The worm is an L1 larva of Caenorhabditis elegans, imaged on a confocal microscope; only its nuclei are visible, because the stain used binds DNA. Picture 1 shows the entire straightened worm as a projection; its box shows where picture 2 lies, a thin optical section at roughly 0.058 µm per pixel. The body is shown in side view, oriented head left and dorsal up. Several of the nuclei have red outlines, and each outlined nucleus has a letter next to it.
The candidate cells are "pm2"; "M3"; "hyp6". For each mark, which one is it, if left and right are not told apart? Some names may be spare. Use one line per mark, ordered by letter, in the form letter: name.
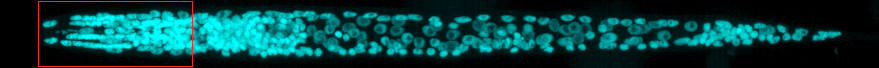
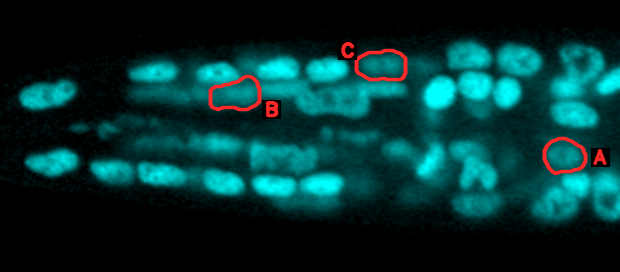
A: M3
B: pm2
C: hyp6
